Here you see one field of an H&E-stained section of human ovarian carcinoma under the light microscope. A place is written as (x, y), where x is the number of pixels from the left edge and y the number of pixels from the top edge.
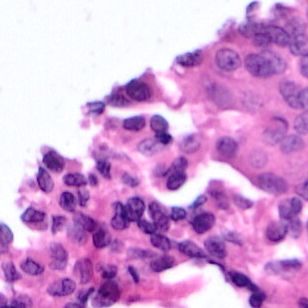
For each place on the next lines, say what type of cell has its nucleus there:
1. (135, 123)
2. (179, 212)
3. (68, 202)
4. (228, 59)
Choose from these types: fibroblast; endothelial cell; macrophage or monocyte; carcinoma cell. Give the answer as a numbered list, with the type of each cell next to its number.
1. carcinoma cell
2. carcinoma cell
3. macrophage or monocyte
4. macrophage or monocyte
